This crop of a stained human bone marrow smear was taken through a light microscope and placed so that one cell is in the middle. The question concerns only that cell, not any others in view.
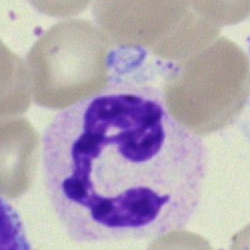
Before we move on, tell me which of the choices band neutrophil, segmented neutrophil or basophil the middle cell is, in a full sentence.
In the crop, the cell of interest at the centre is a segmented neutrophil.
